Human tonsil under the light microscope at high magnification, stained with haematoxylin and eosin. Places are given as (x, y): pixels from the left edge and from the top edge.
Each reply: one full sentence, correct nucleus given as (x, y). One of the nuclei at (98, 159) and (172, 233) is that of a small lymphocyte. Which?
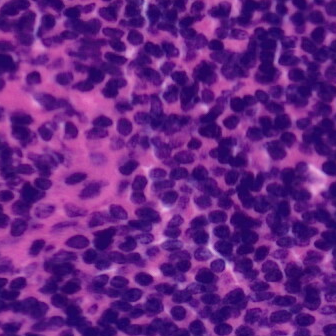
The nucleus that belongs to a small lymphocyte is located at (172, 233).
